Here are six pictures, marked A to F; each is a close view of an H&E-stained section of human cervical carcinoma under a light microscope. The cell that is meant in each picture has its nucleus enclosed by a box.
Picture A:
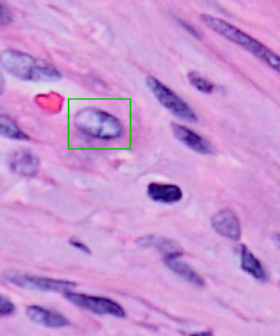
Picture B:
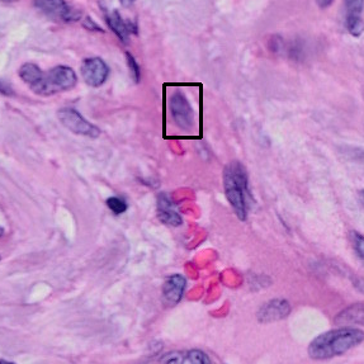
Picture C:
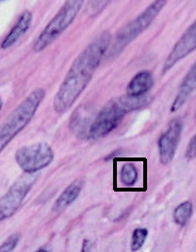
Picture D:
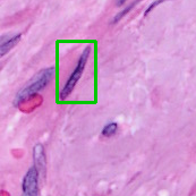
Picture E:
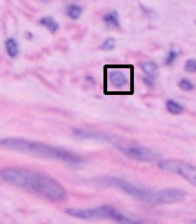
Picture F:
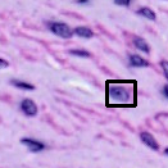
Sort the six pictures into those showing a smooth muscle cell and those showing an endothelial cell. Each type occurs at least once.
A: endothelial cell
B: endothelial cell
C: smooth muscle cell
D: endothelial cell
E: smooth muscle cell
F: smooth muscle cell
